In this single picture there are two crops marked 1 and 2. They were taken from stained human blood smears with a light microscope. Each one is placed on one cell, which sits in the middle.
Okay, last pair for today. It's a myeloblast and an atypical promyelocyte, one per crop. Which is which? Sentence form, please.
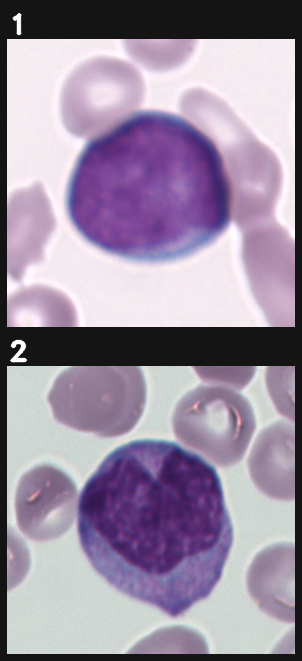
Crop 1 here is a myeloblast, and crop 2 is an atypical promyelocyte.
